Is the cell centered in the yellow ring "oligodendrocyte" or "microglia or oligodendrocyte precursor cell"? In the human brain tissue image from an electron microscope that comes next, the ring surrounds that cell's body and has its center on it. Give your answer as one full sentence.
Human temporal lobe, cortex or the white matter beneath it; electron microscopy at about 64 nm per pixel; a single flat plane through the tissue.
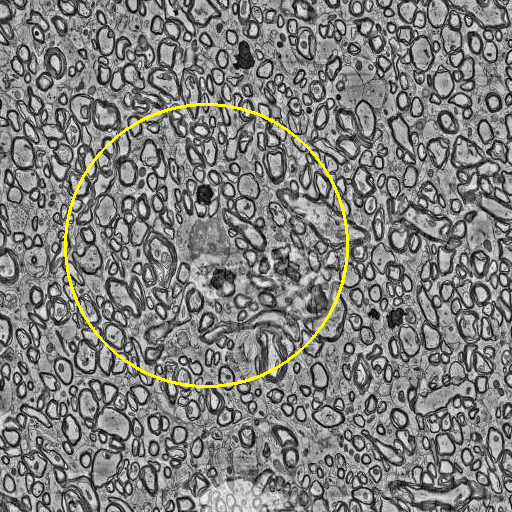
The cell at the center of the yellow ring is an oligodendrocyte in the micrograph.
